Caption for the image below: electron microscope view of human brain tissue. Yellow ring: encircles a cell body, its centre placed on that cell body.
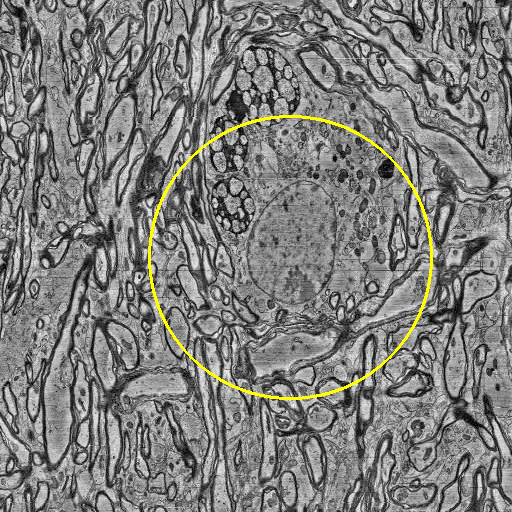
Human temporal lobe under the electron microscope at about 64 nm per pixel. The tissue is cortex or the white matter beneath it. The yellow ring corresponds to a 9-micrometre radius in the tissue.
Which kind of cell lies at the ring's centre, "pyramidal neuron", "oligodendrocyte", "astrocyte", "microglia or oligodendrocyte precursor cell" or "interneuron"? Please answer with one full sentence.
The picture shows an astrocyte at the centre of the yellow ring.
